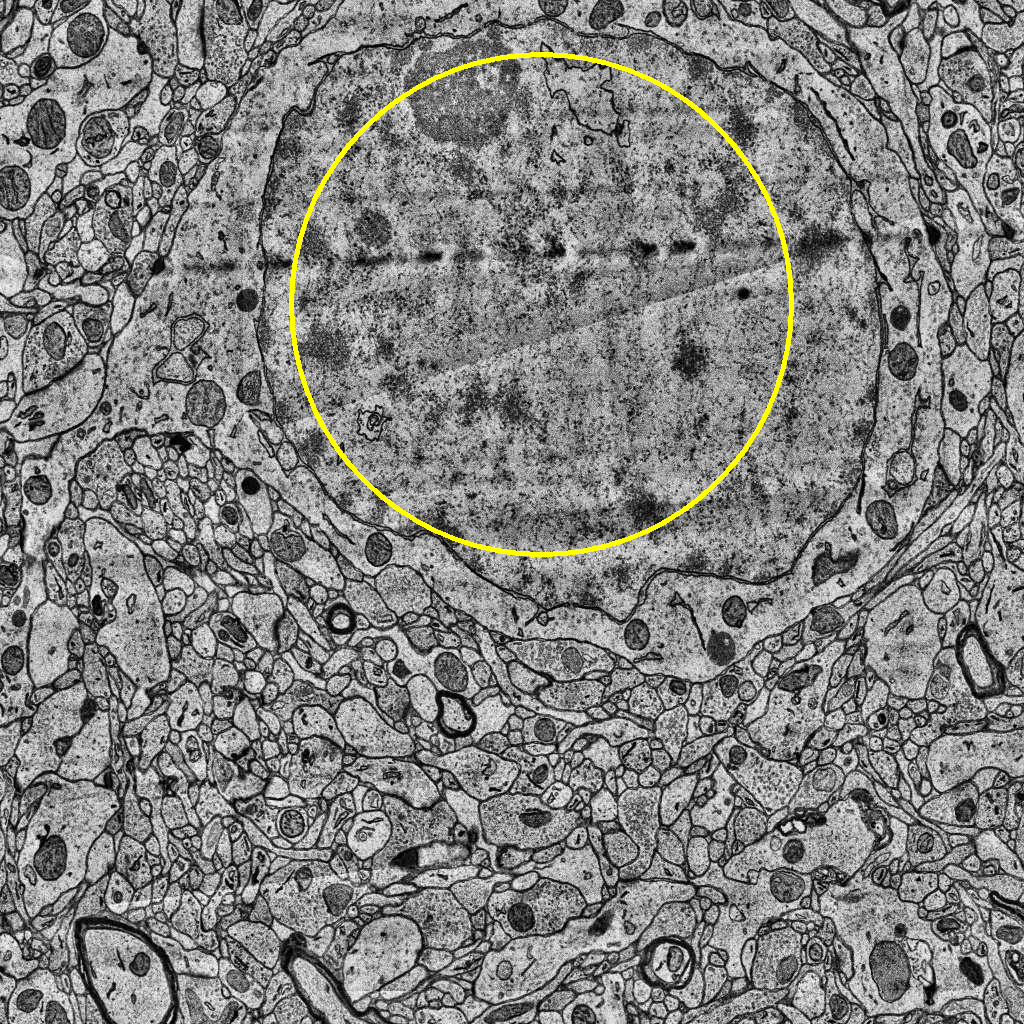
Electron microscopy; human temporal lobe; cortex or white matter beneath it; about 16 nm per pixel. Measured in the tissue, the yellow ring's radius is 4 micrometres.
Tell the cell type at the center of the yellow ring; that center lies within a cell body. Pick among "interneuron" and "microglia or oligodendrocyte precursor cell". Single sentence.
The ring's center lies in the body of an interneuron.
